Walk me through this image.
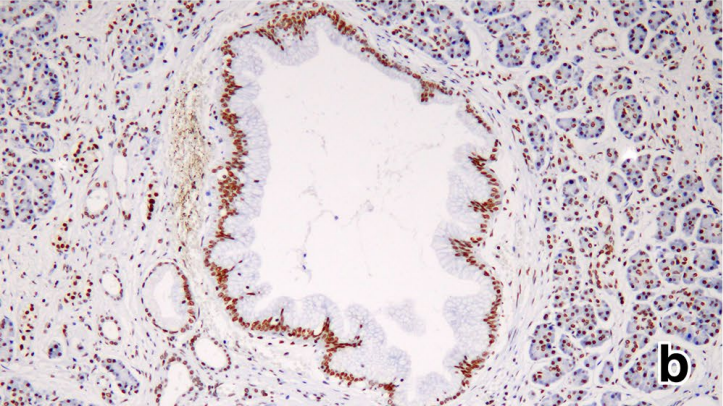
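This is a low-grade pancreatic intraepithelial neoplasm within pancreatic tissue. A dilated duct is lined by tall columnar cells with abundant pale mucin-filled apical cytoplasm and small, elongated, basally placed nuclei that stain strongly brown. Around the duct lie fibrous stroma, small ducts and lobules of acinar cells with brown nuclei.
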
